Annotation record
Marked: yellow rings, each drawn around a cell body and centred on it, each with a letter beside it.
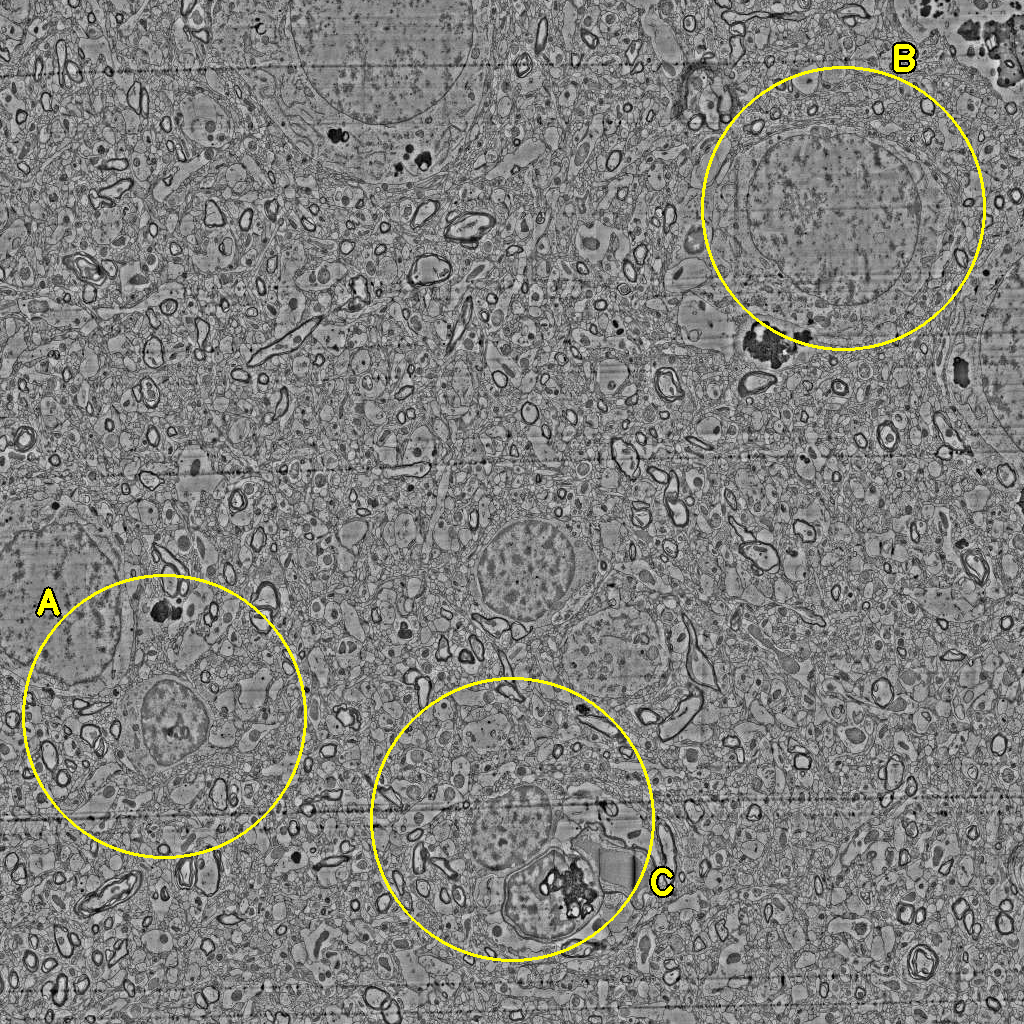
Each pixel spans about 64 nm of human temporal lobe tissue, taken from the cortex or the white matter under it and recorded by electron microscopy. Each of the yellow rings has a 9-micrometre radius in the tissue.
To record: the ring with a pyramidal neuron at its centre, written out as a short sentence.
The ring centred on it is ring B.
